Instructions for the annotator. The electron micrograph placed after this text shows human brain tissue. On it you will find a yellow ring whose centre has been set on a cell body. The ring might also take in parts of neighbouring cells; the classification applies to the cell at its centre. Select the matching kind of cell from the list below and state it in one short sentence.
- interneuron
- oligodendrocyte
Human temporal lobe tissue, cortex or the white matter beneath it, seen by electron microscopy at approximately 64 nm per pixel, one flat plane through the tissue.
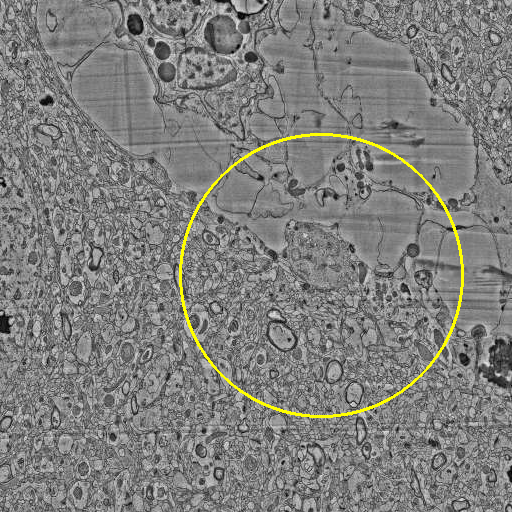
The ring is drawn on the cell body of an oligodendrocyte.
